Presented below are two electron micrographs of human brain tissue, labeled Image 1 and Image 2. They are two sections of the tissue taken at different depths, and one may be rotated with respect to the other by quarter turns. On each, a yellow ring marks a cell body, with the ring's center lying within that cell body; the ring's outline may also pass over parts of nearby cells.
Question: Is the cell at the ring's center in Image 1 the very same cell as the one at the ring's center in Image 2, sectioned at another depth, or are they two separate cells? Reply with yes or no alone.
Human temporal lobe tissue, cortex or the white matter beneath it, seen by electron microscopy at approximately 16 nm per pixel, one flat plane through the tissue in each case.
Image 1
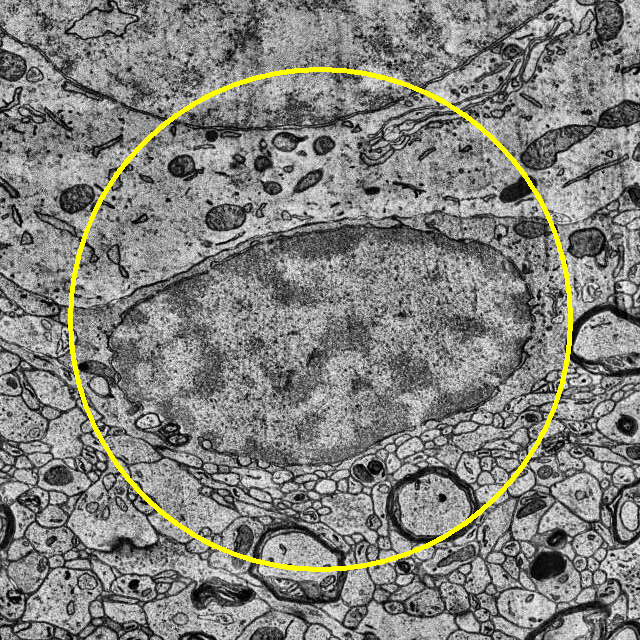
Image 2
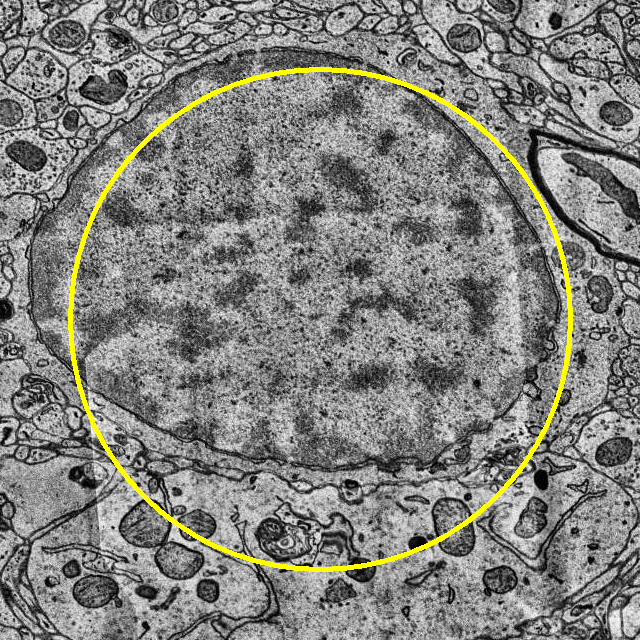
no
